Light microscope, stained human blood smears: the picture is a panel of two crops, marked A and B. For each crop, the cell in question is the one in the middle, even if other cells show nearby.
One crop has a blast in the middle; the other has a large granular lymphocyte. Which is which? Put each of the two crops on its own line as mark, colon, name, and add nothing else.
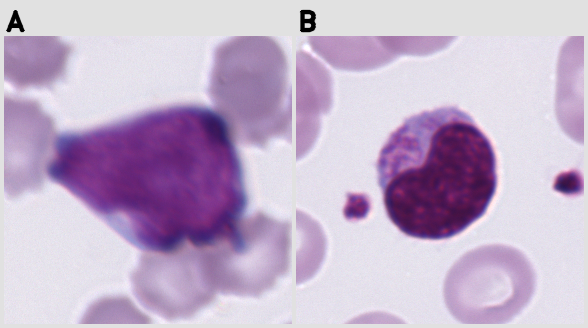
A: blast
B: large granular lymphocyte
